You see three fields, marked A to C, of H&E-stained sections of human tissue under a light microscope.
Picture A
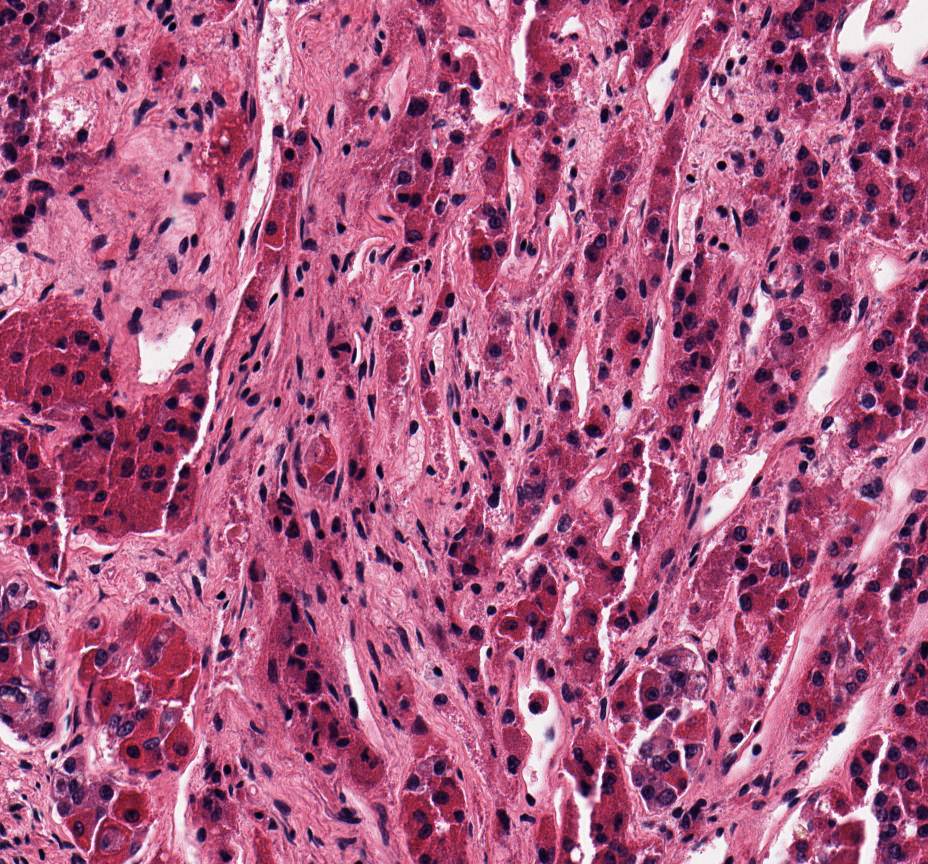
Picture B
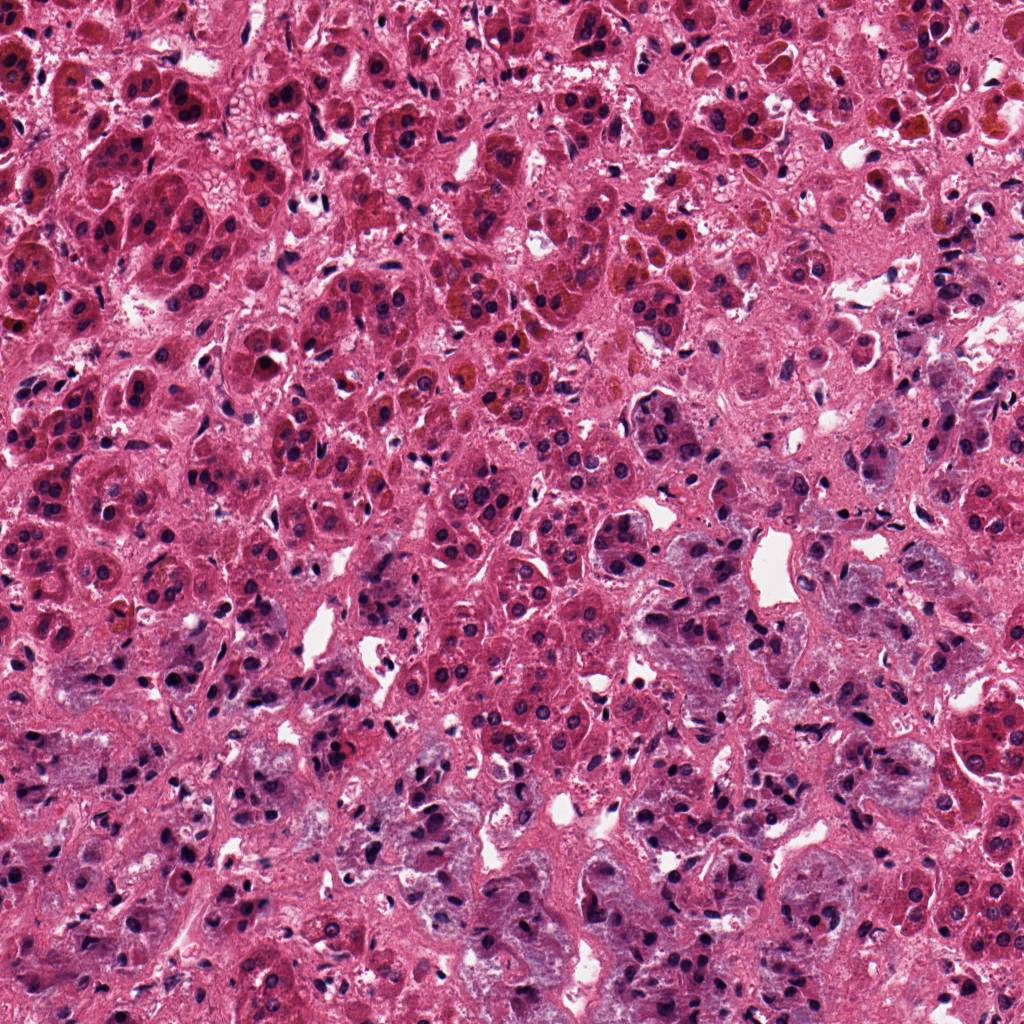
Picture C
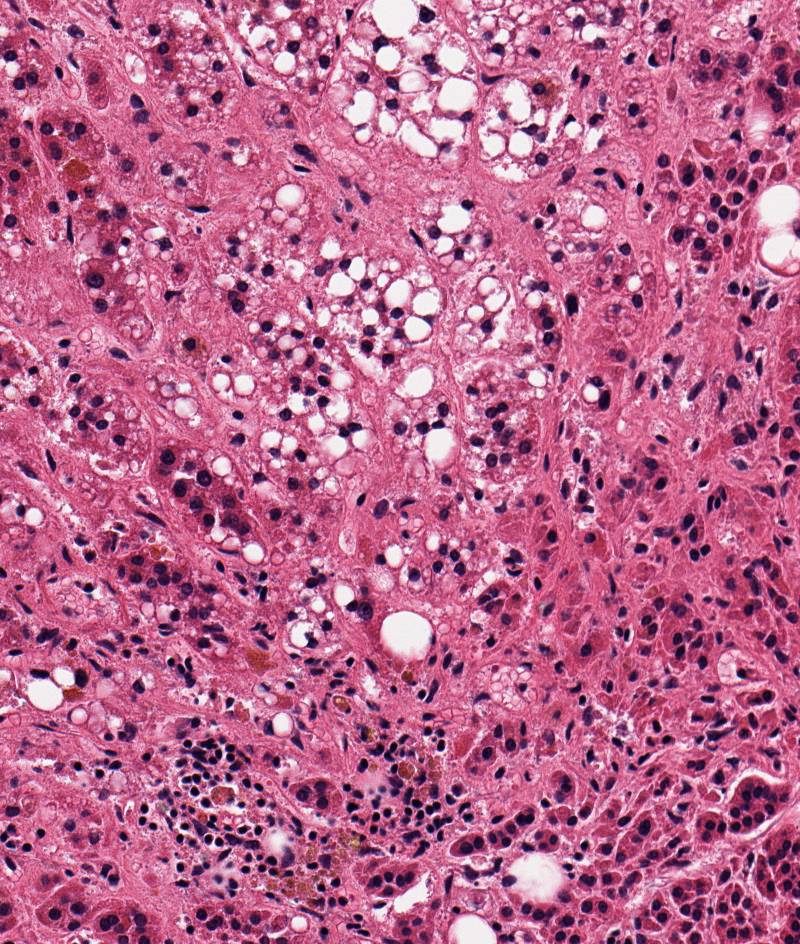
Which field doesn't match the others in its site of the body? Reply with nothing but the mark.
A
